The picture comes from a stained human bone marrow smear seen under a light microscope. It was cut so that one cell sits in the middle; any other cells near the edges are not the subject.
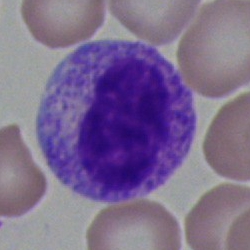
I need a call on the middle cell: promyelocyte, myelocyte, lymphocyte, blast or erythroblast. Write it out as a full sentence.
The crop centres on a single cell, and that cell is a myelocyte.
